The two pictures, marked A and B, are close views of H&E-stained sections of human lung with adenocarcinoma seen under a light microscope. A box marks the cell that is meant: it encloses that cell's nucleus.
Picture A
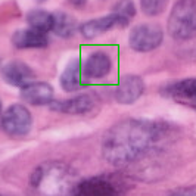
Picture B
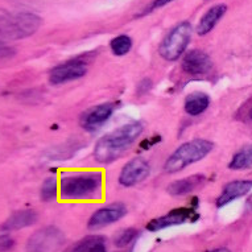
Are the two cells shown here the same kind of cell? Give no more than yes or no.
no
